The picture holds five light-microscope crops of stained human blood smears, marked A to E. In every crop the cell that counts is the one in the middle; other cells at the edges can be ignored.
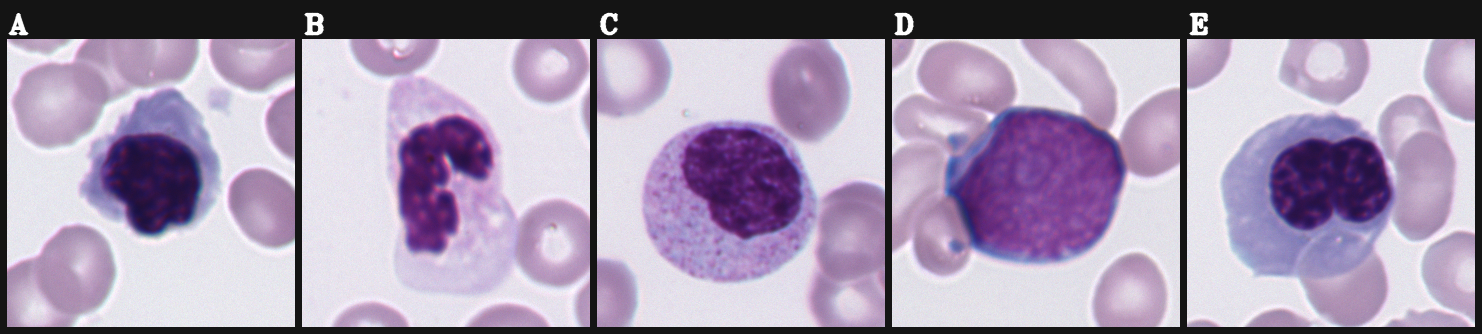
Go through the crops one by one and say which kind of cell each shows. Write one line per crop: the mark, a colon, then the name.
A: normoblast
B: segmented neutrophil
C: metamyelocyte
D: myeloblast
E: normoblast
